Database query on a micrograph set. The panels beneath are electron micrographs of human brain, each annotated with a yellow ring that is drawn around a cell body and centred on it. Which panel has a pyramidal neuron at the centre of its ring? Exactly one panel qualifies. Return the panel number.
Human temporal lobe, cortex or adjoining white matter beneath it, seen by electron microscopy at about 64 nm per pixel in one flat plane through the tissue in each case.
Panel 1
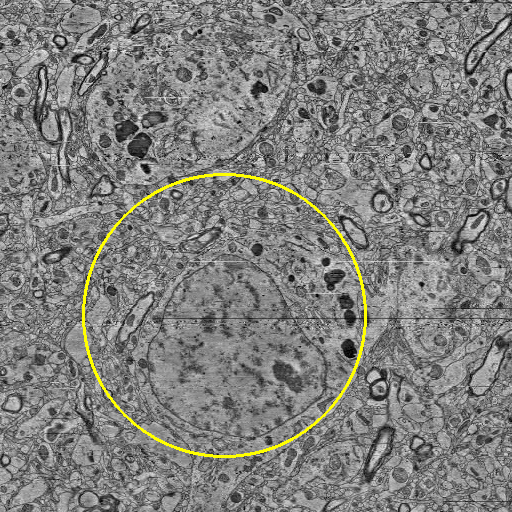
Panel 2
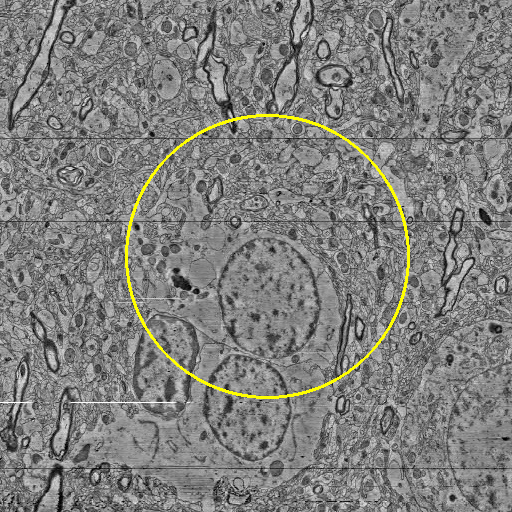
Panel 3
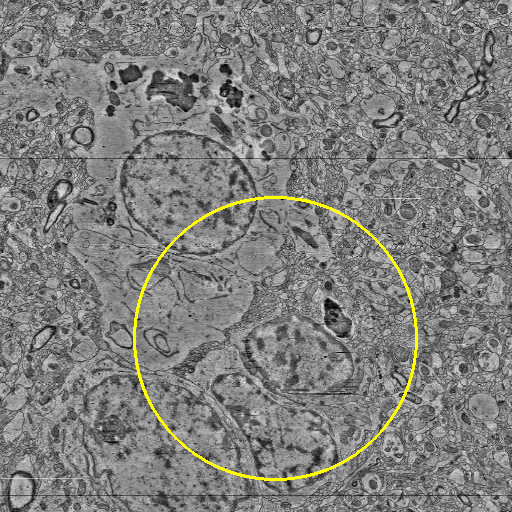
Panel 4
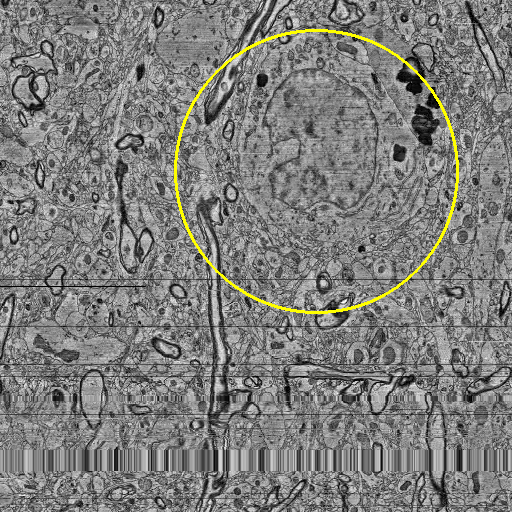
1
